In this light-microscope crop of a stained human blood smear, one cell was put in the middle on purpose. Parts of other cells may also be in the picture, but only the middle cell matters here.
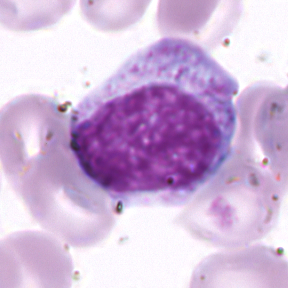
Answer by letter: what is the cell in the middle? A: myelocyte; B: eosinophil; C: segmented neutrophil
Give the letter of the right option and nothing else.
A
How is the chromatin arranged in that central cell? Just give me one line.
The chromatin is fine; coarse clumps are not a feature here.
